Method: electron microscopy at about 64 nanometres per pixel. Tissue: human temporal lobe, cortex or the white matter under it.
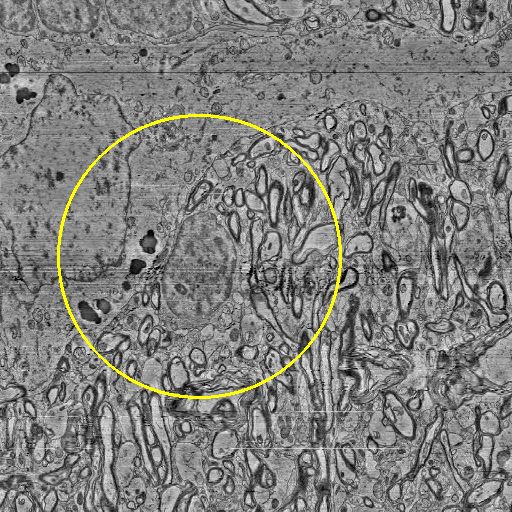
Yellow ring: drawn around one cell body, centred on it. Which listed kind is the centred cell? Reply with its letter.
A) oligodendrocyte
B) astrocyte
A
